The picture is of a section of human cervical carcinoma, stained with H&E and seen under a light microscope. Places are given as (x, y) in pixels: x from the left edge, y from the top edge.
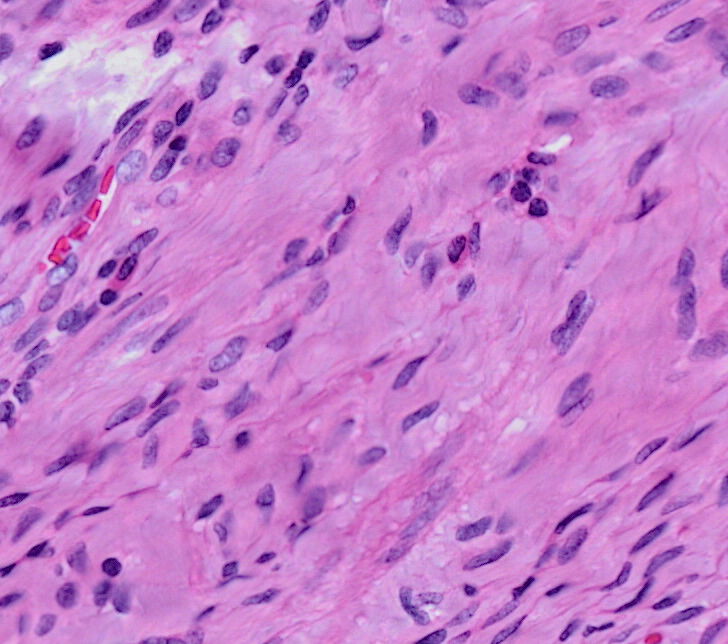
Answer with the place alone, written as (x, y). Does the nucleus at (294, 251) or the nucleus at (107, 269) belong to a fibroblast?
(294, 251)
